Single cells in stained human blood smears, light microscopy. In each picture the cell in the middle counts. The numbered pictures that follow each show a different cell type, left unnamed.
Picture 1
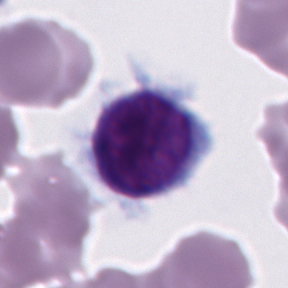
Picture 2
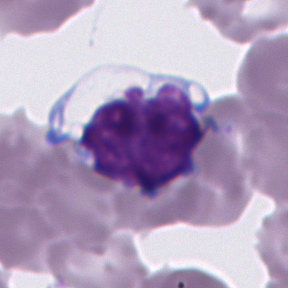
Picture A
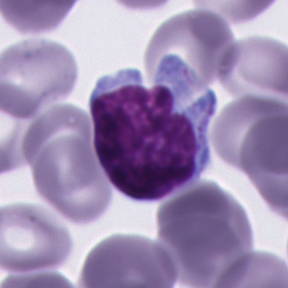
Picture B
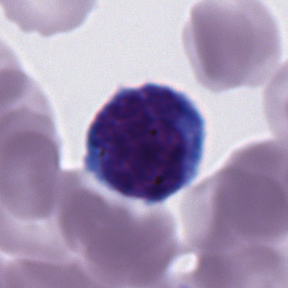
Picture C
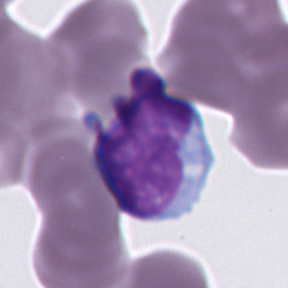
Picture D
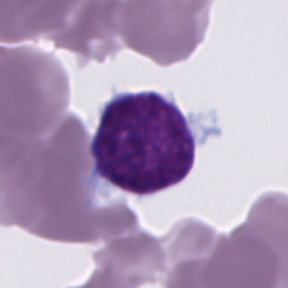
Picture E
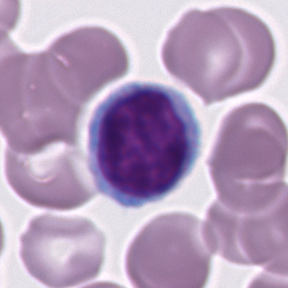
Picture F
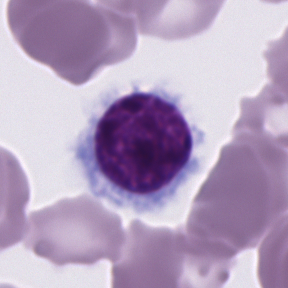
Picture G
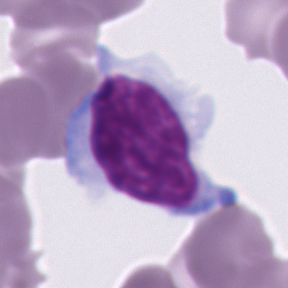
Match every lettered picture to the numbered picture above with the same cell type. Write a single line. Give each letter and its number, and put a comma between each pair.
A 2, B 2, C 2, D 1, E 2, F 1, G 1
